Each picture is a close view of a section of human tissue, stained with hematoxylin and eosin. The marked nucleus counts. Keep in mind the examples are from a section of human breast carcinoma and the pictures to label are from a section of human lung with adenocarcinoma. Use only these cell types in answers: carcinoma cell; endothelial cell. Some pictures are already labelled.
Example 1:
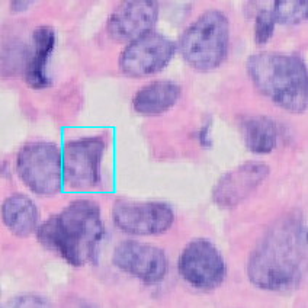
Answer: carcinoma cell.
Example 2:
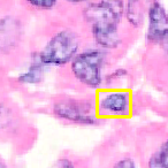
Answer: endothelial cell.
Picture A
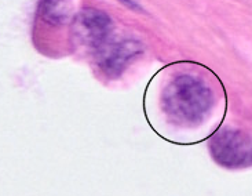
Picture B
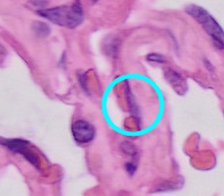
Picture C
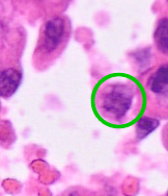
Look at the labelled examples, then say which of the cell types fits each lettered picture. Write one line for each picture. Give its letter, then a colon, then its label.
A: carcinoma cell.
B: endothelial cell.
C: carcinoma cell.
